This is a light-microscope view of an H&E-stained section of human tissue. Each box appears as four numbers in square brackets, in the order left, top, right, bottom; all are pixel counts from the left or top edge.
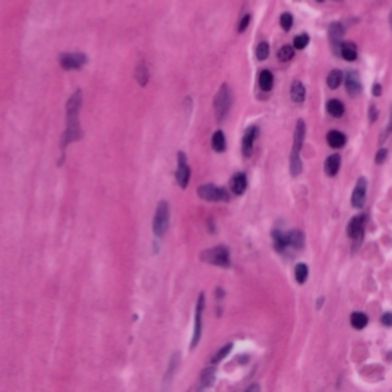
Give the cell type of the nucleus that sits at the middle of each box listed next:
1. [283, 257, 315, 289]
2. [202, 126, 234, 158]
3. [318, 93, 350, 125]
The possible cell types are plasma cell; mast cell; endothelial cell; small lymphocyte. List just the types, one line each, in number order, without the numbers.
mast cell
mast cell
plasma cell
